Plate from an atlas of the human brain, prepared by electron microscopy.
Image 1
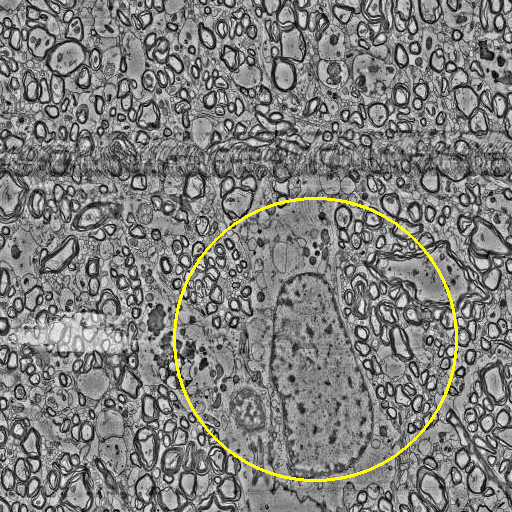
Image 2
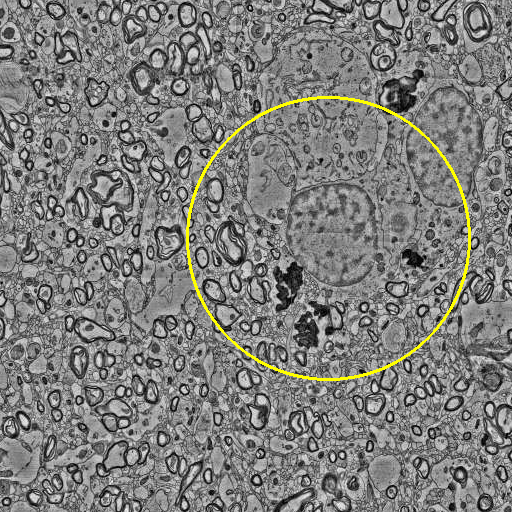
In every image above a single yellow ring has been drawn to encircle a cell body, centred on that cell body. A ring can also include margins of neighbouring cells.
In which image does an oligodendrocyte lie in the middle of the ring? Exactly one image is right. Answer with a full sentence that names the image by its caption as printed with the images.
Image 2 holds the requested cell at the very centre of its ring.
